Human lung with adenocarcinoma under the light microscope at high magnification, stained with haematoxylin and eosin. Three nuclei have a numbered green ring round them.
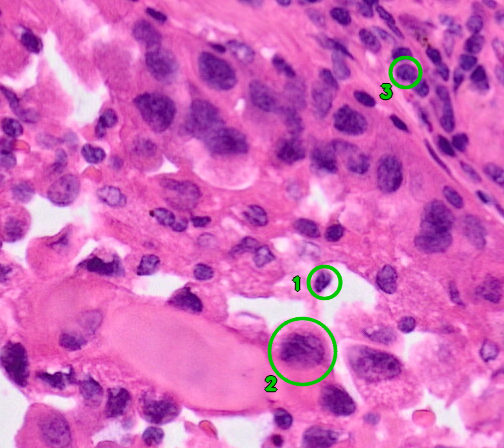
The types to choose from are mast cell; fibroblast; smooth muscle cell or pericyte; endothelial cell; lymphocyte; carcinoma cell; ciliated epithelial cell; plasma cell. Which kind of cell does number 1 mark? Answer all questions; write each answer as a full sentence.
Nucleus 1 in this section belongs to a lymphocyte.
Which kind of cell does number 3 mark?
Here the cell numbered 3 is a lymphocyte.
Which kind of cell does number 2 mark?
The label 2 in this section denotes a carcinoma cell.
